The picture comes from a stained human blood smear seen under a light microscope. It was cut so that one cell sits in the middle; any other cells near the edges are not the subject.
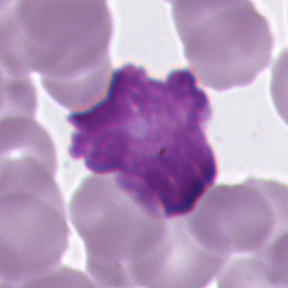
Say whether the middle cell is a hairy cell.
no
